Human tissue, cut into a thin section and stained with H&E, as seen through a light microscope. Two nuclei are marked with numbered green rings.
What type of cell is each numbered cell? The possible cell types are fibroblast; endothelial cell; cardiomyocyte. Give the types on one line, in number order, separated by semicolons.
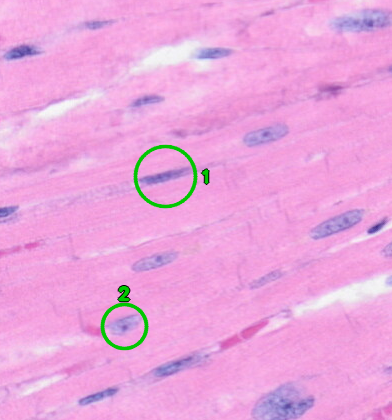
endothelial cell; cardiomyocyte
